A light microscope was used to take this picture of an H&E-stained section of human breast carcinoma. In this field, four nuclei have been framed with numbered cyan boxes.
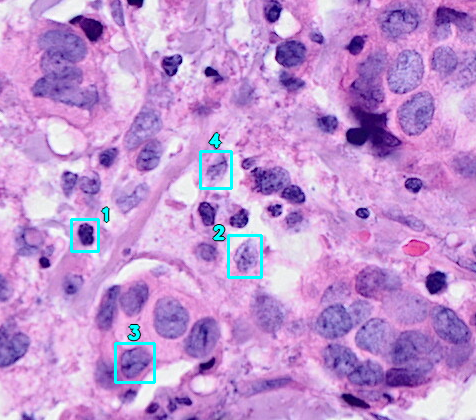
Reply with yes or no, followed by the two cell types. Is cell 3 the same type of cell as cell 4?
No, cell 3 is identified as a carcinoma cell, and cell 4 is identified as a macrophage, monocyte or dendritic cell.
